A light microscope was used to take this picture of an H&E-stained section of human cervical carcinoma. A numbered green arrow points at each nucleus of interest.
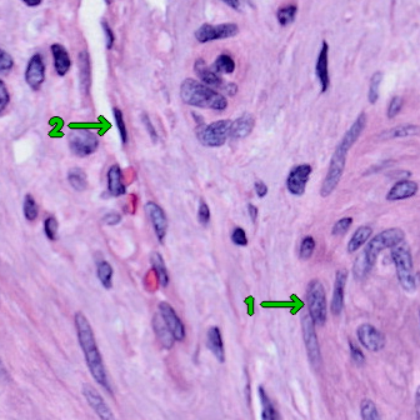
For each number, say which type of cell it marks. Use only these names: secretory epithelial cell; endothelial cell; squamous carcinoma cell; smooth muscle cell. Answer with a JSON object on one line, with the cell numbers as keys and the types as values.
{"1": "smooth muscle cell", "2": "endothelial cell"}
